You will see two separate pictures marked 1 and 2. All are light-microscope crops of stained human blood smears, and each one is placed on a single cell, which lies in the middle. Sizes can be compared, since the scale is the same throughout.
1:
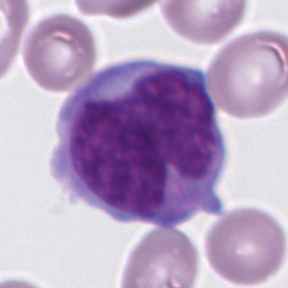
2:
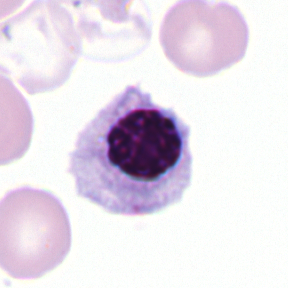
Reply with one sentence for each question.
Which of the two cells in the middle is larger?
Picture 1 holds the larger cell; it covers about 2 times the area of the cell in picture 2.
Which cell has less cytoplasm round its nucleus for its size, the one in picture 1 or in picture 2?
Of the two, the nucleus in picture 1 makes up the greater part of its cell.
